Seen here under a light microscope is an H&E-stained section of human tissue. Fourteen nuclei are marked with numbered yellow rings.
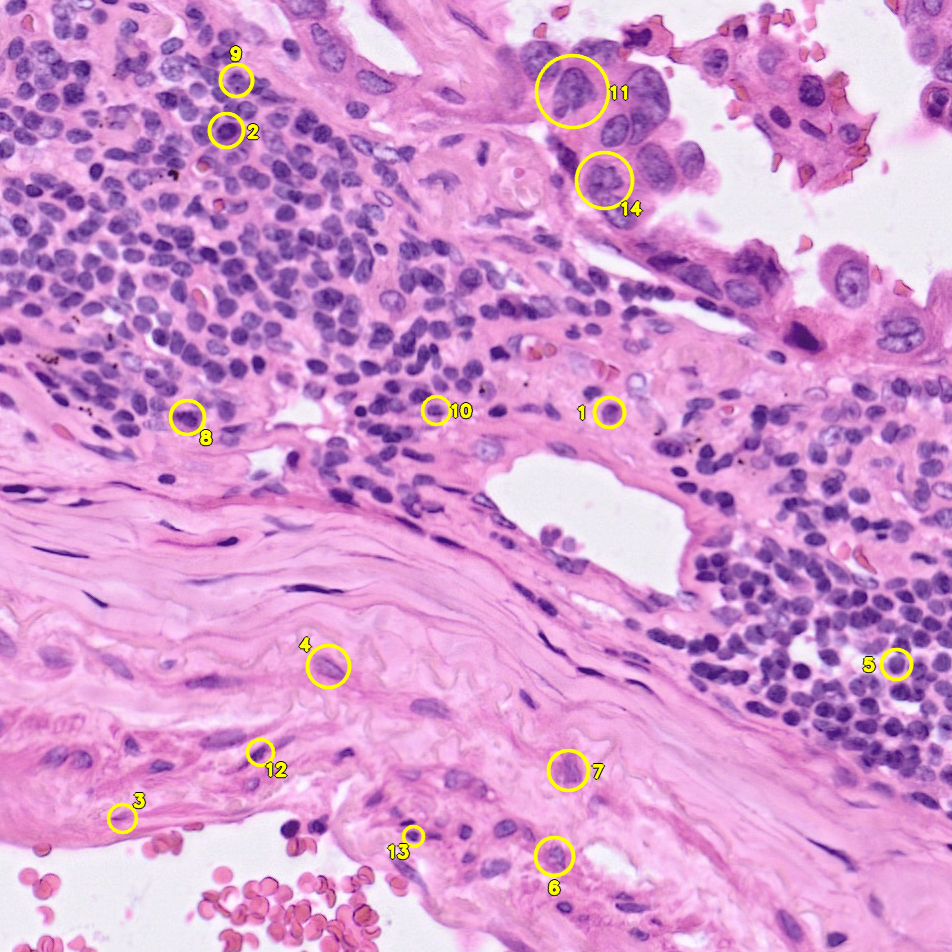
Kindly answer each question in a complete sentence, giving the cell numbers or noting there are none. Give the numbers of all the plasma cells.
The cells marked 1, 2 and 8 in the section are plasma cells.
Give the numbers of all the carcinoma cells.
In terms of cell type, cells 11 and 14 are carcinoma cells.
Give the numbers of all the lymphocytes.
The cells shown with numbers 5, 9 and 10 are lymphocytes.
